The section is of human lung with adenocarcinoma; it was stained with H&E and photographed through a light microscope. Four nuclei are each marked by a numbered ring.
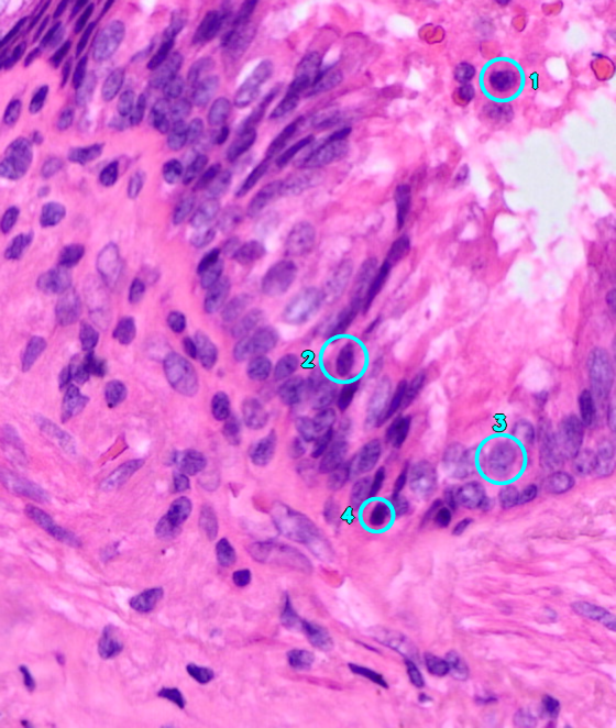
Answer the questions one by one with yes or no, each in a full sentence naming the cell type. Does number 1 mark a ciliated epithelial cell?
No, the cell identified by number 1 is a macrophage or monocyte, not a ciliated epithelial cell.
